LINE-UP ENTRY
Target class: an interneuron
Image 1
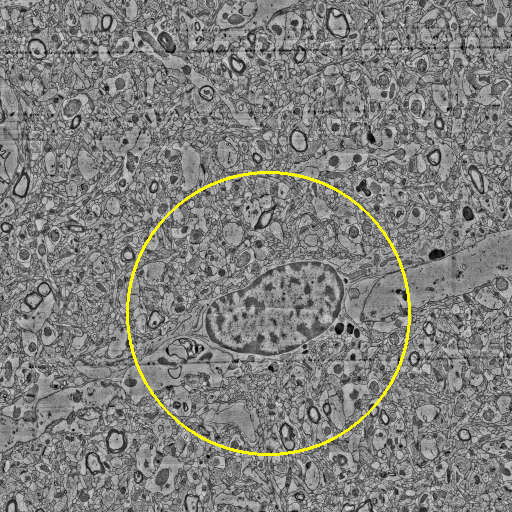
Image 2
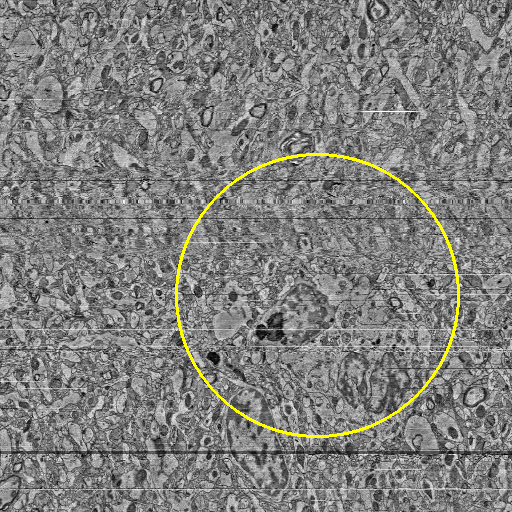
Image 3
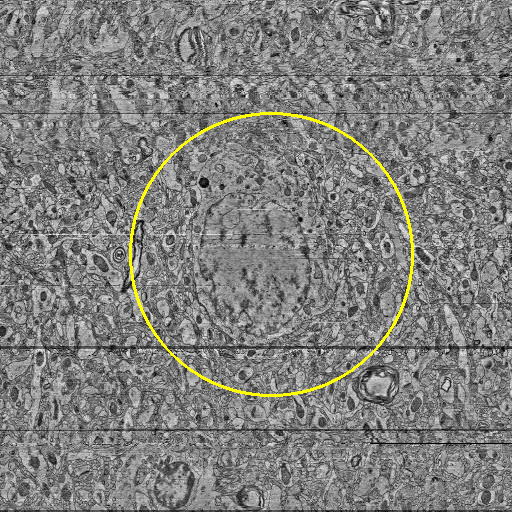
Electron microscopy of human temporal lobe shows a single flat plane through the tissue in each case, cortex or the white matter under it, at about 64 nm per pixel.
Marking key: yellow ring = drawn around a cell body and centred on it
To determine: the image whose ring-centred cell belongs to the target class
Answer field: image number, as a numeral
3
